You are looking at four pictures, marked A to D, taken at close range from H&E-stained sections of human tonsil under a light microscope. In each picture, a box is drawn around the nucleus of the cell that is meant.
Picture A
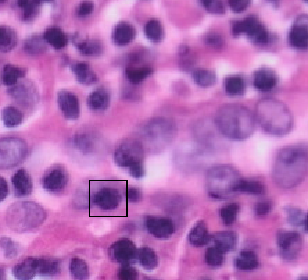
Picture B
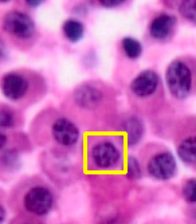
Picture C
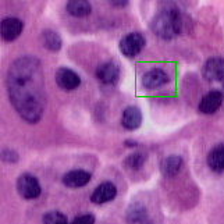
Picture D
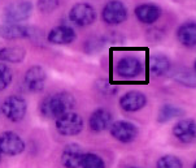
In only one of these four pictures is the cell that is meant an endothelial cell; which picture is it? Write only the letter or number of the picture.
A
